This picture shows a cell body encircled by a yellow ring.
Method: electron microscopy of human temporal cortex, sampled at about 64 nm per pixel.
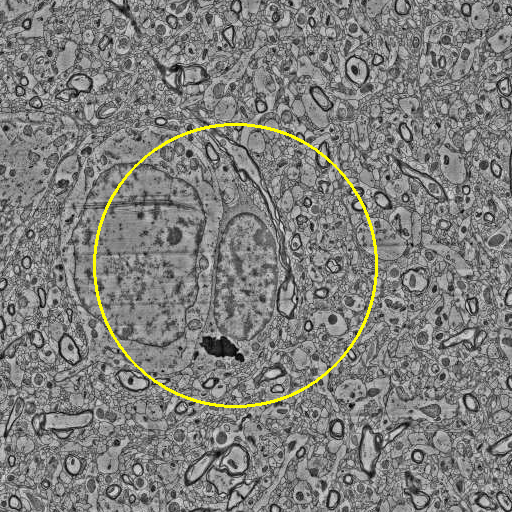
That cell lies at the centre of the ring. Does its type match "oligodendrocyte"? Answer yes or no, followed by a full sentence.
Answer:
Yes, in the picture, the ring surrounds a cell of that type at its centre.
